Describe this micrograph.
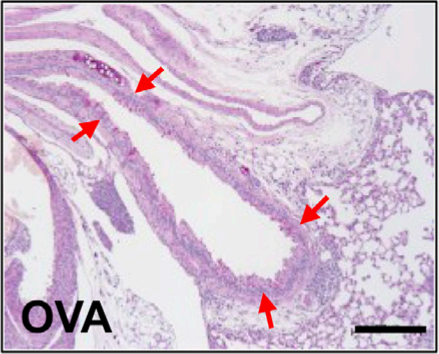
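This is a low-power view of lung with a large elongated airway cut lengthwise, its lumen open and empty. The most intense magenta cluster sits near the upper end of the airway, with smaller magenta areas further down the lining. Around the airway the wall is somewhat thickened with denser purple-staining tissue, and beyond it lies the lacy pattern of alveolar lung tissue.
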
